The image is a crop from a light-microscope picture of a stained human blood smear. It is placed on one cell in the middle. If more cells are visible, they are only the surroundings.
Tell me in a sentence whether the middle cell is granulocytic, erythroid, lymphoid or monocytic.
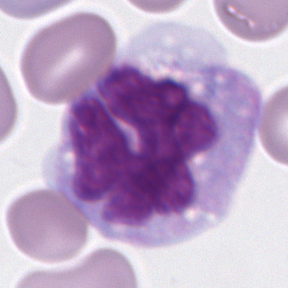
Regarding its lineage, the centered cell is monocytic.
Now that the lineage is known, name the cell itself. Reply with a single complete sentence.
Answering briefly, the cell in the middle is a monocyte.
